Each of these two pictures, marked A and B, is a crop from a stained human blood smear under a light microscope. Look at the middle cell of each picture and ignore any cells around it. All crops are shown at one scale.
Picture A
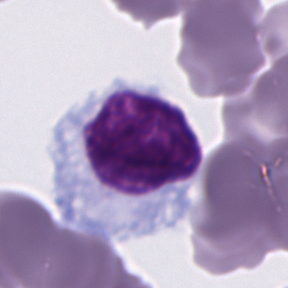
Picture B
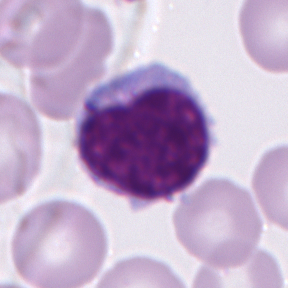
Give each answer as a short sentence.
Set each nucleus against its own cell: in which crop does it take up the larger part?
The nucleus fills more of the cell in picture B than in picture A.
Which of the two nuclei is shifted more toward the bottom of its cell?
In picture B the nucleus is shifted more toward the bottom.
